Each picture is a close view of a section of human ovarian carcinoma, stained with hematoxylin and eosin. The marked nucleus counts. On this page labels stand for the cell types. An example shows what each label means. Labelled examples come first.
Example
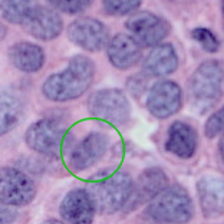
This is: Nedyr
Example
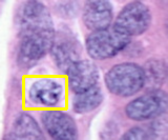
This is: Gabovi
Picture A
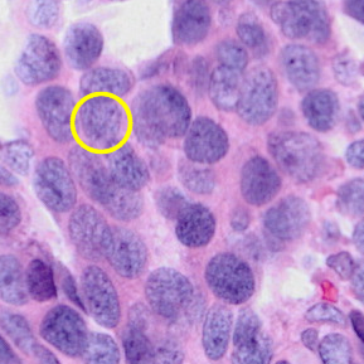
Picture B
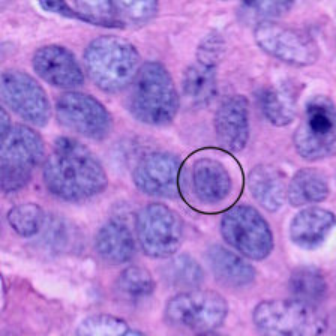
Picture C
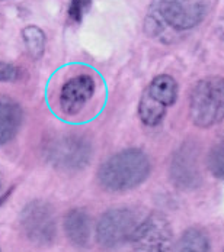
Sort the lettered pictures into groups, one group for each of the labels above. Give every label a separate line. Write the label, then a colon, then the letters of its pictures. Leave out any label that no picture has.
Nedyr: A, B
Gabovi: C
